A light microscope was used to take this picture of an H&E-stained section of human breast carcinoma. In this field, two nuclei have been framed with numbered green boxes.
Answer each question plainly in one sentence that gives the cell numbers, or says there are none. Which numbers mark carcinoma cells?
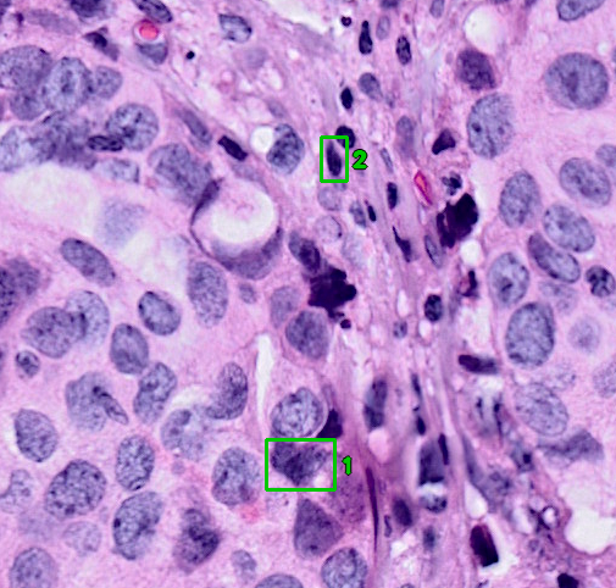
Of the numbered cells, only cell 1 is a carcinoma cell.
